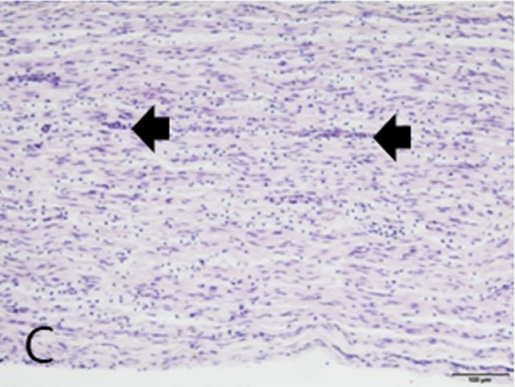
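This is a longitudinal section of a peripheral nerve in which the nerve fibers are crowded by a large number of small, round, darkly staining nuclei. These small round nuclei are spread throughout the field and gather in denser clusters in places, which points to an infiltrate of lymphocytes. Among them lie the more elongated nuclei that belong to the cells lining the nerve fibers. Overall the tissue looks much more cellular than a healthy nerve would.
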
